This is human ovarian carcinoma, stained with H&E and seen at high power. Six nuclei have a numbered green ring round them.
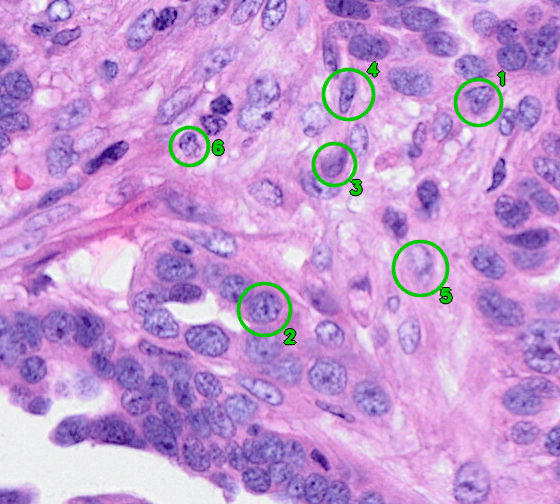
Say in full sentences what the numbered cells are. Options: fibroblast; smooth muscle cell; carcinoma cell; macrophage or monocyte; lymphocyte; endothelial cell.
Cell 1 is a fibroblast, cell 2 is a carcinoma cell, cell 3 is a fibroblast, cell 4 is a fibroblast, cell 5 is a fibroblast and cell 6 is a macrophage or monocyte.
